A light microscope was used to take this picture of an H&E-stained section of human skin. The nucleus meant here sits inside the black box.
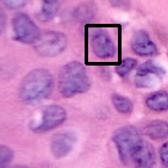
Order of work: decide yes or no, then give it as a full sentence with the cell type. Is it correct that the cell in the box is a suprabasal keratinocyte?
No, that's not it; the cell in the box is a basal keratinocyte rather than a suprabasal keratinocyte.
